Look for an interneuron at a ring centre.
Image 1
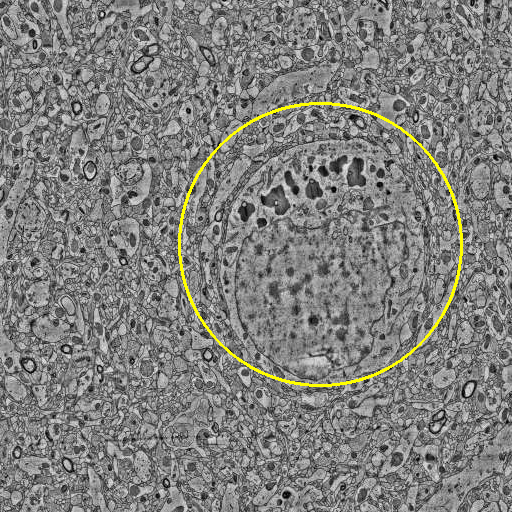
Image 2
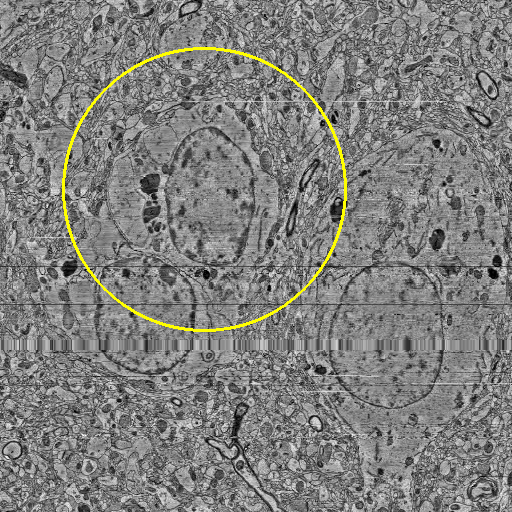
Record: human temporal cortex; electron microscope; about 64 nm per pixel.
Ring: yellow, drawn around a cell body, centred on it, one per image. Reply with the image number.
1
